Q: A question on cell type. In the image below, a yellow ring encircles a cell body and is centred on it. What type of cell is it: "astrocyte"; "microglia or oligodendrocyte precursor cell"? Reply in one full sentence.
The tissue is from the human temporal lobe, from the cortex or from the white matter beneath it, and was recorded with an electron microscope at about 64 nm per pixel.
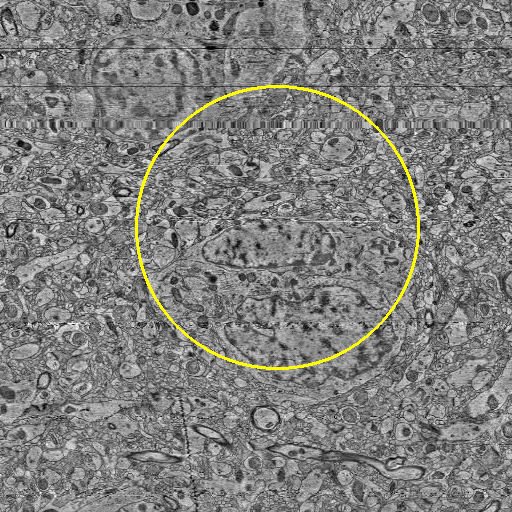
It is a microglial cell or oligodendrocyte precursor cell whose cell body sits at the centre of the yellow ring in the image.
